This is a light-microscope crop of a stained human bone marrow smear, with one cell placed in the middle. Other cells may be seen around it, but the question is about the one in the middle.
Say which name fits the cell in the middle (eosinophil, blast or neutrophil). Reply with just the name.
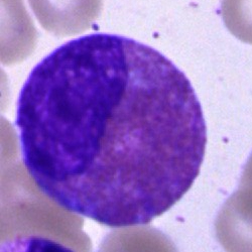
eosinophil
